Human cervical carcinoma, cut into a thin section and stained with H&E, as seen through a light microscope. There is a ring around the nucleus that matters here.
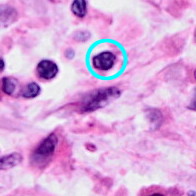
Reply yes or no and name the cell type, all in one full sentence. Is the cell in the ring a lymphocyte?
Yes, the naming of the cell in the ring as a lymphocyte is correct.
